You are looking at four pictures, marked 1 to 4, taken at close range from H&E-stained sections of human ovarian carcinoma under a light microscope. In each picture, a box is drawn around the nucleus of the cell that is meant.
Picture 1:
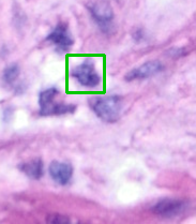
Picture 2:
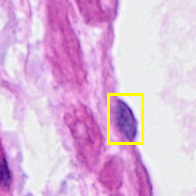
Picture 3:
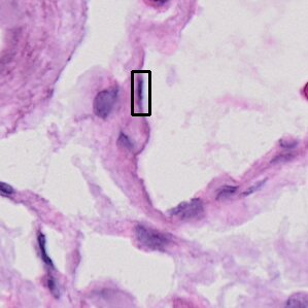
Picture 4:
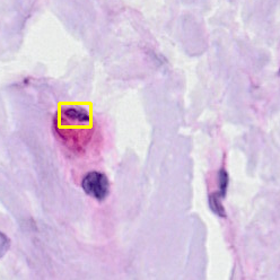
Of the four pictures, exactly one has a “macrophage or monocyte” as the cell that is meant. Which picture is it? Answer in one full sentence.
Picture 1 is the one that shows the “macrophage or monocyte”.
